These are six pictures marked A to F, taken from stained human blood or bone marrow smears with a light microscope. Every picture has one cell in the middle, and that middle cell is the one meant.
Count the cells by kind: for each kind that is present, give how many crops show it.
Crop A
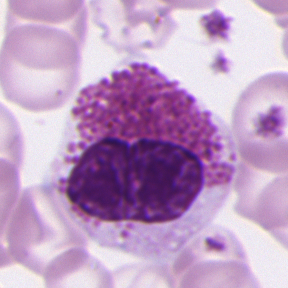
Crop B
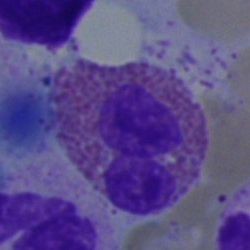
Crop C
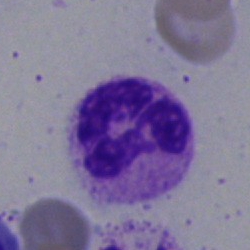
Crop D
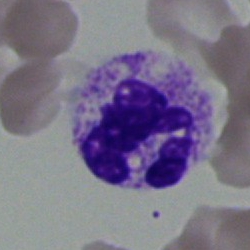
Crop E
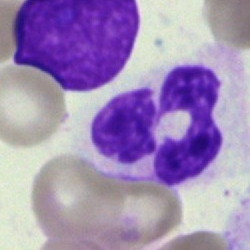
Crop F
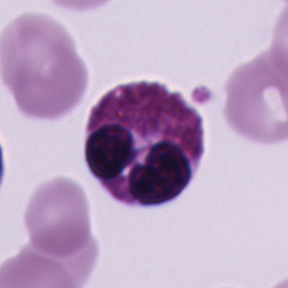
eosinophil: 3
neutrophil: 3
